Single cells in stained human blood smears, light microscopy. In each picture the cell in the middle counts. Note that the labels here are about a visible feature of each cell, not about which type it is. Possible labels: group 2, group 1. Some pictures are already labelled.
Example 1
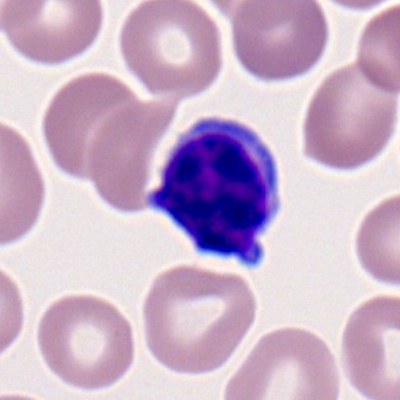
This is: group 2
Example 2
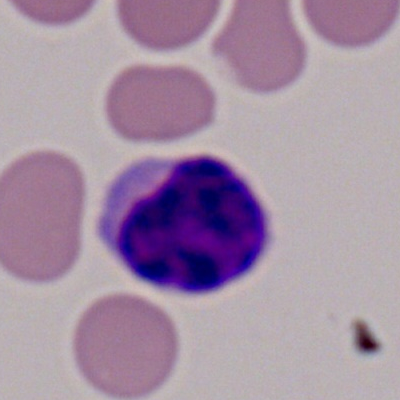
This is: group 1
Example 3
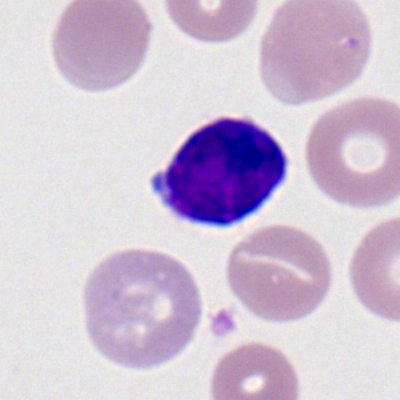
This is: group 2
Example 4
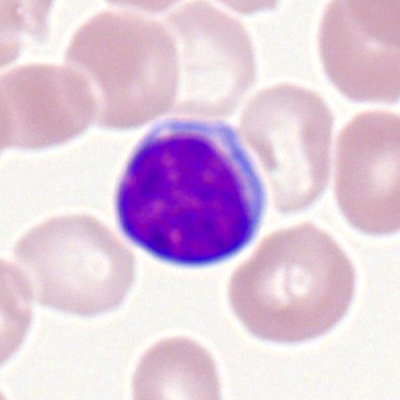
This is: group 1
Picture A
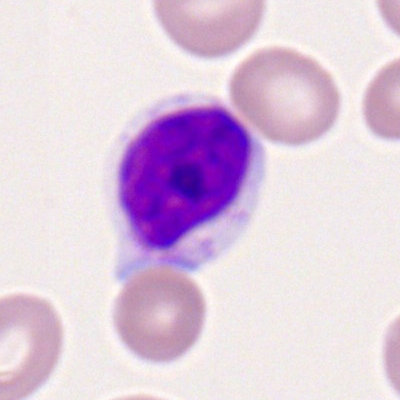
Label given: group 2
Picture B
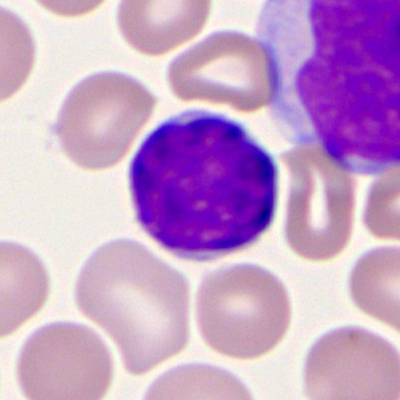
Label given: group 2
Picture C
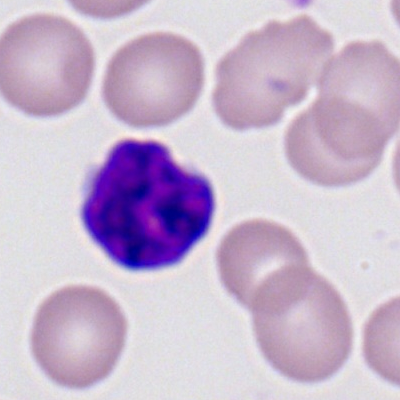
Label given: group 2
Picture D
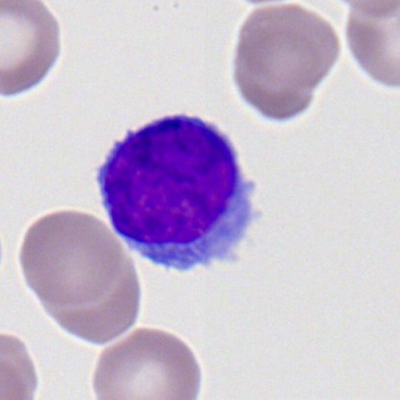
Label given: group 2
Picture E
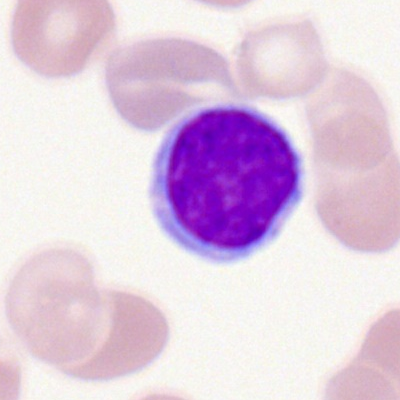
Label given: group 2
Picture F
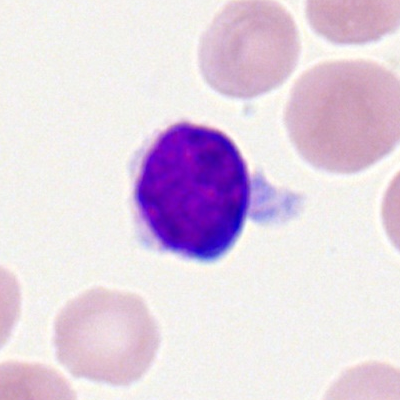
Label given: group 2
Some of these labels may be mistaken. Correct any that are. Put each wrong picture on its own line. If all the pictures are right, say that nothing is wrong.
B: not group 2 but group 1
E: not group 2 but group 1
